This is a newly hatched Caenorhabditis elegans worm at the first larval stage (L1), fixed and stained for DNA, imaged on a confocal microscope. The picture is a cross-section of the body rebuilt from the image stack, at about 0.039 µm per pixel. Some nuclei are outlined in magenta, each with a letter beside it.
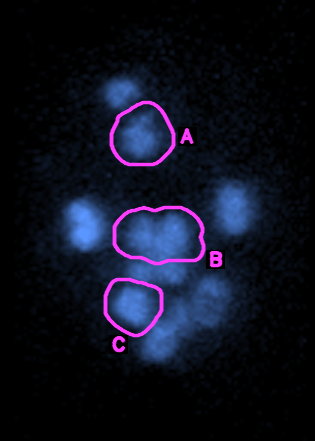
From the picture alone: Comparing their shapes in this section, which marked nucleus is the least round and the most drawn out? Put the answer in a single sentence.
Nucleus B is the longest relative to its width.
